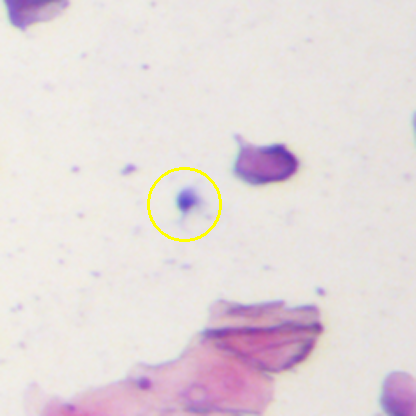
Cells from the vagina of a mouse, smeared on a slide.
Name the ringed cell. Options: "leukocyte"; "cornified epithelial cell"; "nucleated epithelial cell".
leukocyte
